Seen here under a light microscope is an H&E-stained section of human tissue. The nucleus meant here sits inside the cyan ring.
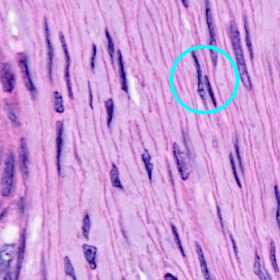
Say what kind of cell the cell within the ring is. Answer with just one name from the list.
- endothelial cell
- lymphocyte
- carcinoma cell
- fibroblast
fibroblast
